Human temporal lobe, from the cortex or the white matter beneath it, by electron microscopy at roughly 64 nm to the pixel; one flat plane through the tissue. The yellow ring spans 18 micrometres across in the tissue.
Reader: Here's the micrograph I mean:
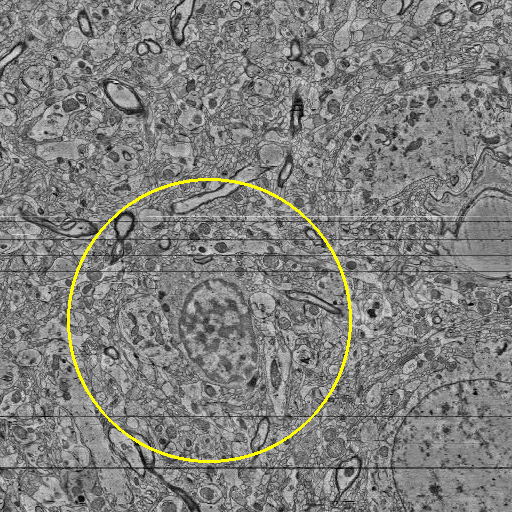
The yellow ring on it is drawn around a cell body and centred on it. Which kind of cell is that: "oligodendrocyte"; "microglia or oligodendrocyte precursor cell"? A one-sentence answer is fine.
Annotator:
The ring is centred on an oligodendrocyte.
